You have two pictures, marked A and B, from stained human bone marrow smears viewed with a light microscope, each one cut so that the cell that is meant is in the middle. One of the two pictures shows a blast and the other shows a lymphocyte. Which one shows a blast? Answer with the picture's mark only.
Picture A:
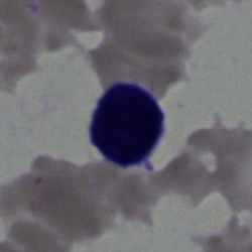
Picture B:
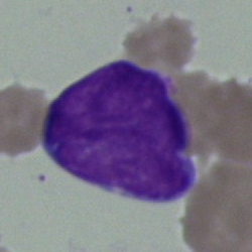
B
